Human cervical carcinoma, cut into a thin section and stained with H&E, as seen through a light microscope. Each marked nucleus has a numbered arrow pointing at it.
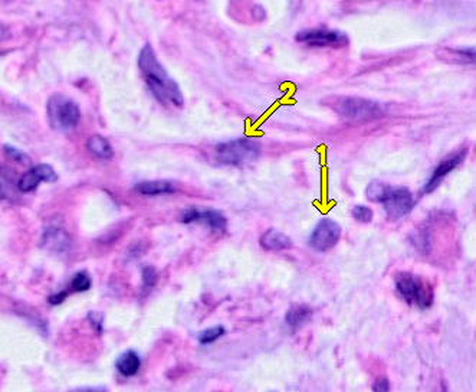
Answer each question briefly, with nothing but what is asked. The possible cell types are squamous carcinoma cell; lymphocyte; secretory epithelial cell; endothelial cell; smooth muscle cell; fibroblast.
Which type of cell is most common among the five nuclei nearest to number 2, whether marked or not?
fibroblast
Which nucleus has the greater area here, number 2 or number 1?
2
